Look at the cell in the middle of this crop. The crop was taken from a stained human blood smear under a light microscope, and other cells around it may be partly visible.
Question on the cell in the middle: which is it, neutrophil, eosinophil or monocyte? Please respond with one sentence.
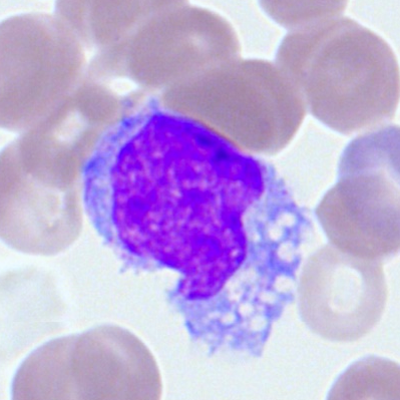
Framed in the middle of the crop is a monocyte.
